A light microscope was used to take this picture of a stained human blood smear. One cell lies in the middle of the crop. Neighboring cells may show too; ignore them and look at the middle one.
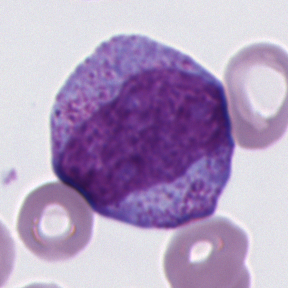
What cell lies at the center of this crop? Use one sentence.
The cell nearest the centre of this crop is an atypical promyelocyte.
